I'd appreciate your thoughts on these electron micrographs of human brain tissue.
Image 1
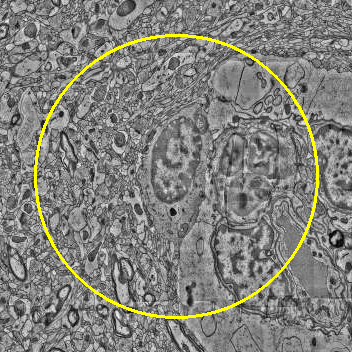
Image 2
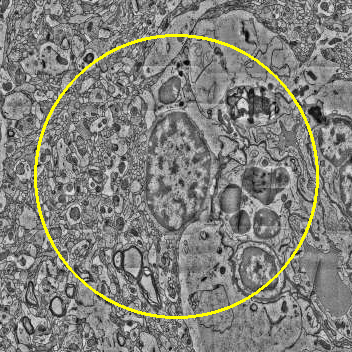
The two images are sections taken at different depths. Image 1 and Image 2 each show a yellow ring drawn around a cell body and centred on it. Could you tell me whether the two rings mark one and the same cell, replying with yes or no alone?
yes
